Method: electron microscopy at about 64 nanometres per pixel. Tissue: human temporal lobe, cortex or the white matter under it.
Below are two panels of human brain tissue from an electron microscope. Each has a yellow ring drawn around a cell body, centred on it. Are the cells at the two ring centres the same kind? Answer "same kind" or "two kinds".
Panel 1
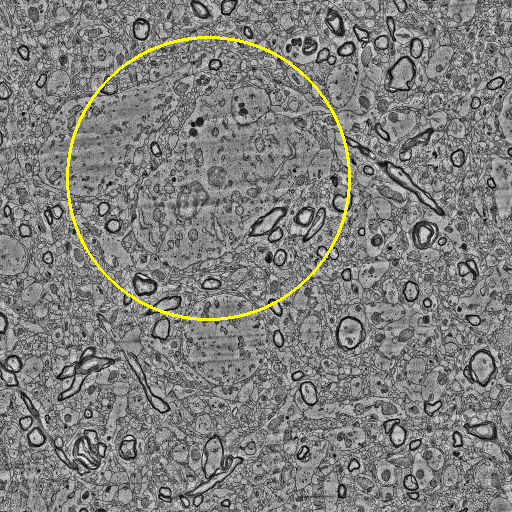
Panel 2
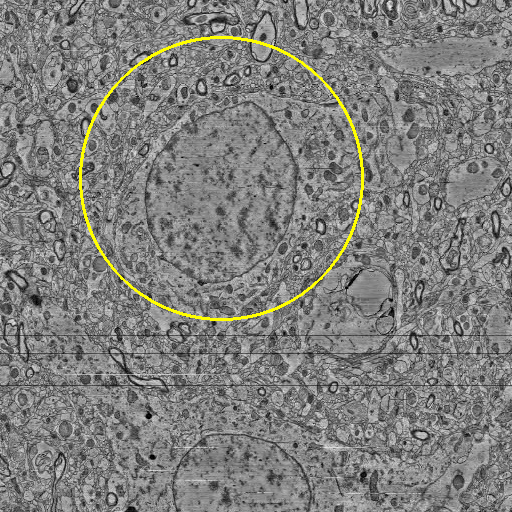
same kind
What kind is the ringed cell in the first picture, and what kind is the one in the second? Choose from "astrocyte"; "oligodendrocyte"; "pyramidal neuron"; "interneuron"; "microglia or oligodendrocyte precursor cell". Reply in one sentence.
Each of the two cells is an interneuron.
